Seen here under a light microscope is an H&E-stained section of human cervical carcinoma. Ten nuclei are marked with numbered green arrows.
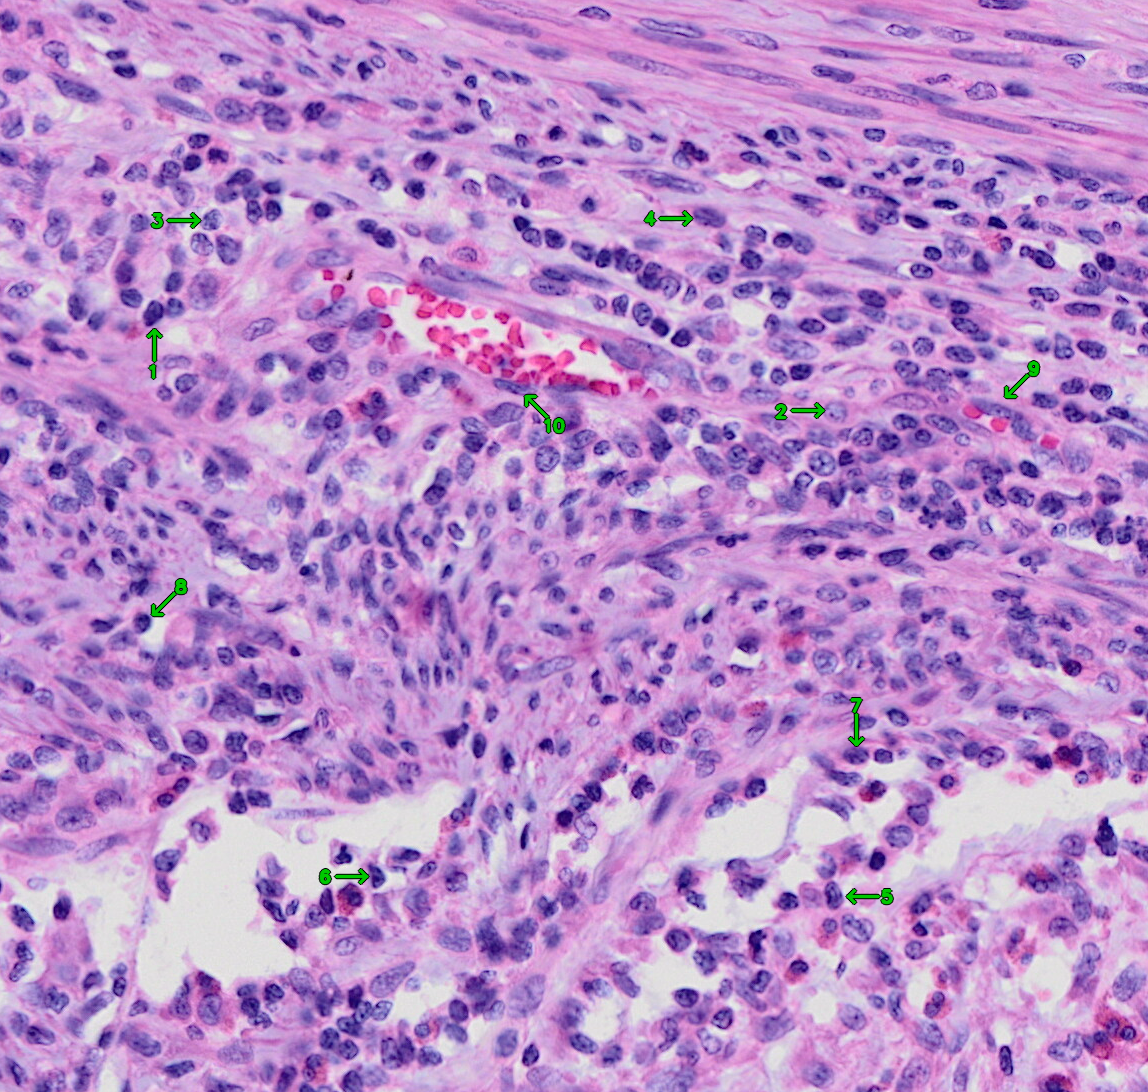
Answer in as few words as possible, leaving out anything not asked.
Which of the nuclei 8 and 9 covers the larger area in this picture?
9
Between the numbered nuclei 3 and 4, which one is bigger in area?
4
